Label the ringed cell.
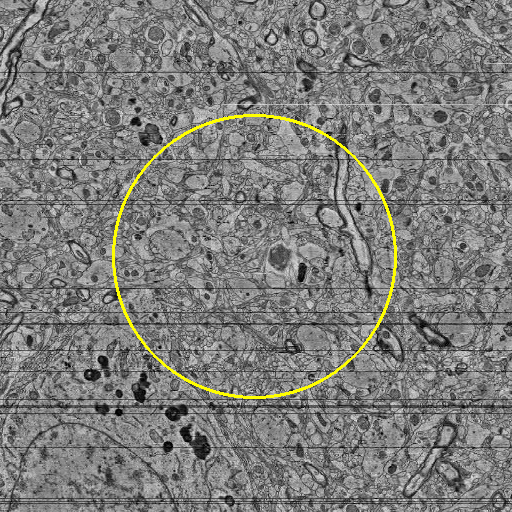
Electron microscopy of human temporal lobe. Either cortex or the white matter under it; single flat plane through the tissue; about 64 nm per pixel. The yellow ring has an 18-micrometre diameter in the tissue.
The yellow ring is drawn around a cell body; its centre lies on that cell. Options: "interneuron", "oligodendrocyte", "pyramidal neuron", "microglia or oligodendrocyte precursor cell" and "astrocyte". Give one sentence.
The ringed cell is a microglial cell or oligodendrocyte precursor cell.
